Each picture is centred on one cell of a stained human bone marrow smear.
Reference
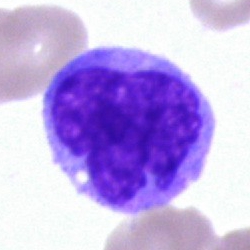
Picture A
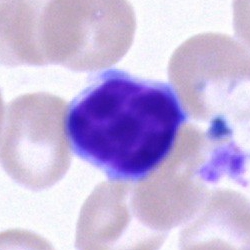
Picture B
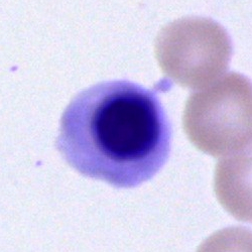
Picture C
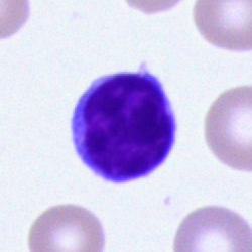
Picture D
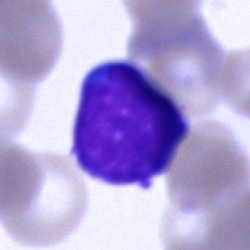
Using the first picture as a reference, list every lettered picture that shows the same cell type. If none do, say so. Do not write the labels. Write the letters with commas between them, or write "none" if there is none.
none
